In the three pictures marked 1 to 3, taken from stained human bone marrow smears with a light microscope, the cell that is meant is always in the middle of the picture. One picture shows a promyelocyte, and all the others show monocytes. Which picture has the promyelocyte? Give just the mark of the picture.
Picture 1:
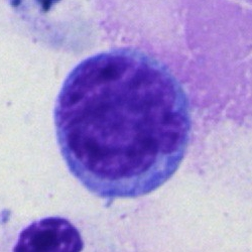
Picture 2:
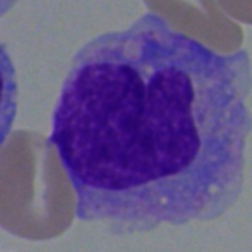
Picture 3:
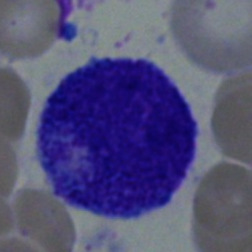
3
